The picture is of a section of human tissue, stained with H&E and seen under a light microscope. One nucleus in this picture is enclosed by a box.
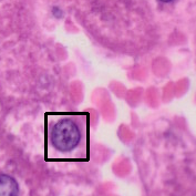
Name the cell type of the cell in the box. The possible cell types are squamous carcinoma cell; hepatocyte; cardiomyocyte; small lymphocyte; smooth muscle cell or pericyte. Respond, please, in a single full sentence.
Among the cells in this section, the cell in the box is a hepatocyte.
